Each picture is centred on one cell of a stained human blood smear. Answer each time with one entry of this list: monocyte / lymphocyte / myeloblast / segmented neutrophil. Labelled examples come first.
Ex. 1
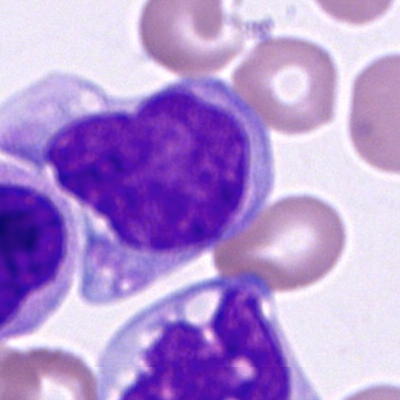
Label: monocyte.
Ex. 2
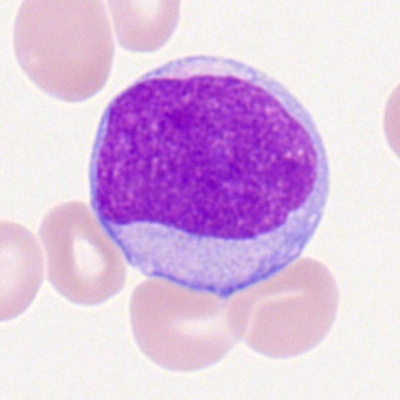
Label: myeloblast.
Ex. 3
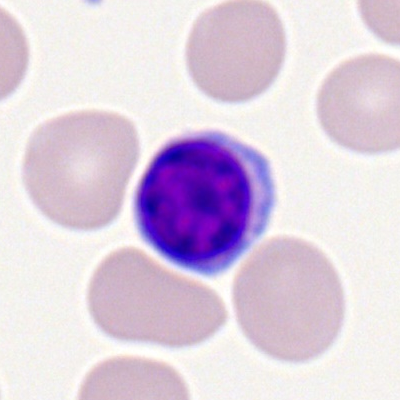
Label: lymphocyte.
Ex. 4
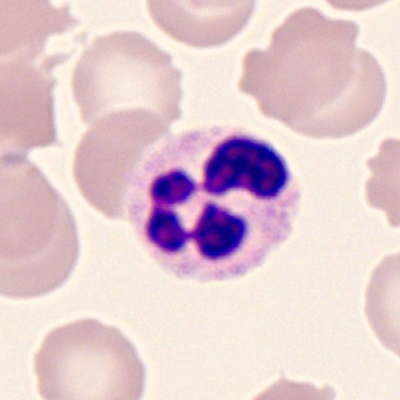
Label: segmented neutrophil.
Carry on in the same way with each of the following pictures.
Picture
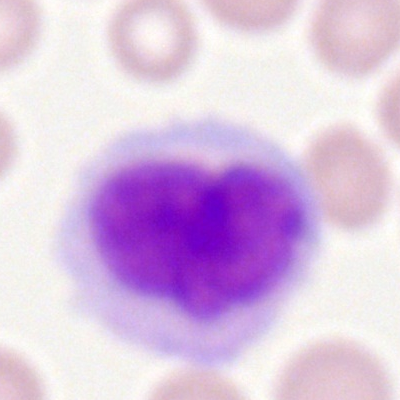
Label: monocyte.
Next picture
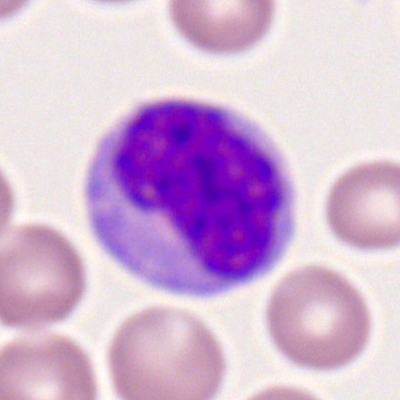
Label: monocyte.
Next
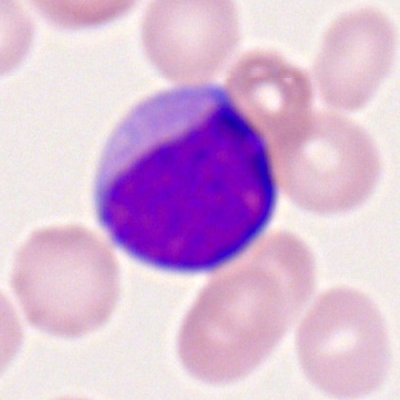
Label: myeloblast.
